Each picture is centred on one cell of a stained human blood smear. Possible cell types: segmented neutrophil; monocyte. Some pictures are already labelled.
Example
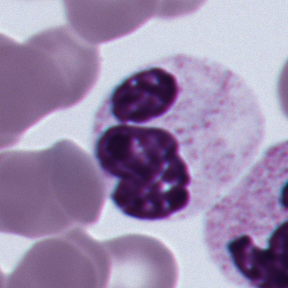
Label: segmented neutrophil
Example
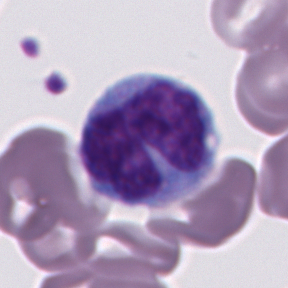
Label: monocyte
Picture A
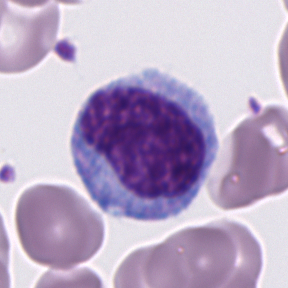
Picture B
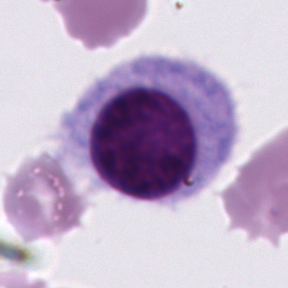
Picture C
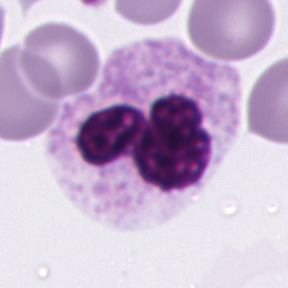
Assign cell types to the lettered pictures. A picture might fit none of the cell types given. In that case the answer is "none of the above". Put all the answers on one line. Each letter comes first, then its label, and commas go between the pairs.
A monocyte, B none of the above, C segmented neutrophil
